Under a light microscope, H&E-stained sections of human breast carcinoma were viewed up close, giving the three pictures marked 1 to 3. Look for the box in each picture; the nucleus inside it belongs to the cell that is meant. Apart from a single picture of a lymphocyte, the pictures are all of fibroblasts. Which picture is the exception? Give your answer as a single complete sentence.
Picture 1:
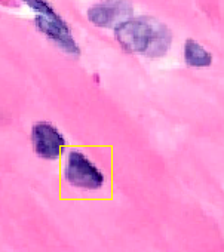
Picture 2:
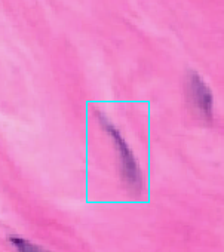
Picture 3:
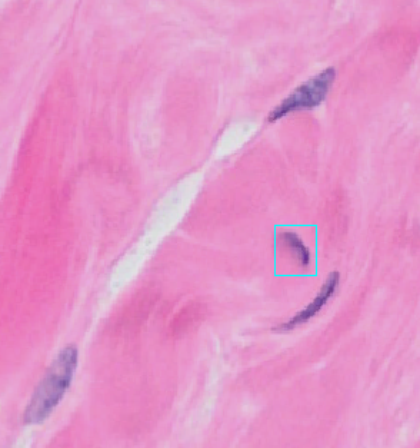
Picture 1 shows the lymphocyte.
